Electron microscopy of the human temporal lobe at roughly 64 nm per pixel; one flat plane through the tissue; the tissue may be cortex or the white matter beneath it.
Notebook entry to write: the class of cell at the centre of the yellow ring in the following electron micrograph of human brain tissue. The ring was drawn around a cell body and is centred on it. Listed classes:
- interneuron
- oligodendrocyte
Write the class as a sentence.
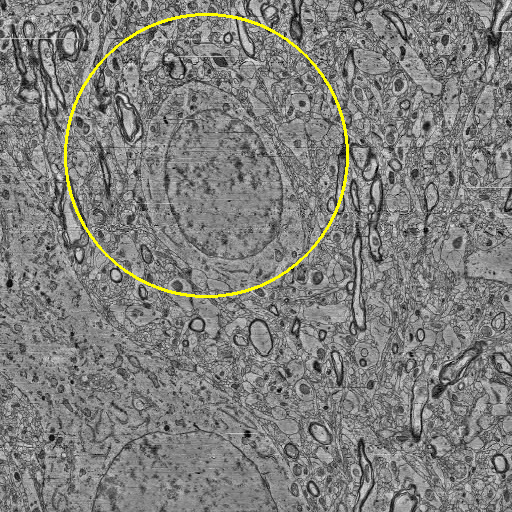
The yellow ring sits on an interneuron.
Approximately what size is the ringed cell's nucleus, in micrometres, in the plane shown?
About 10 by 7 micrometres in this plane.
